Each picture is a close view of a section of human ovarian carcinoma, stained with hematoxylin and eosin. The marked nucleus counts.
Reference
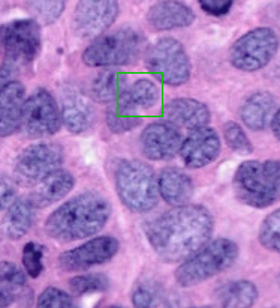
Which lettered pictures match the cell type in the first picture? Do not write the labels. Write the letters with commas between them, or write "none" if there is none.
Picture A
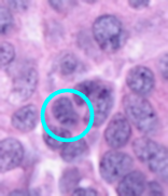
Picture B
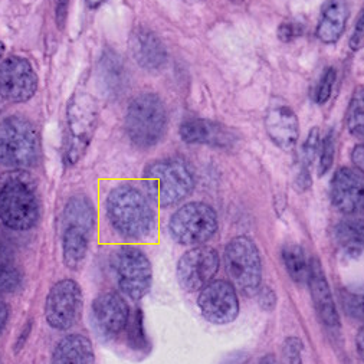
A, B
